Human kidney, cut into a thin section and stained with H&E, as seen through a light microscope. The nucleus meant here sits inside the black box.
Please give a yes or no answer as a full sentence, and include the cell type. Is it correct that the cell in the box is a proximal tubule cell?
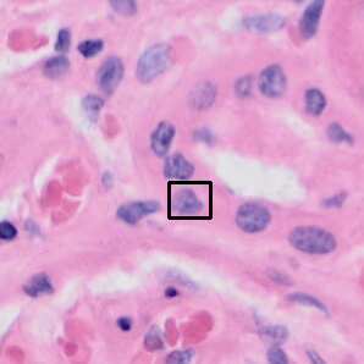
No, the cell in the box is scored as a collecting duct cell and not as a proximal tubule cell.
